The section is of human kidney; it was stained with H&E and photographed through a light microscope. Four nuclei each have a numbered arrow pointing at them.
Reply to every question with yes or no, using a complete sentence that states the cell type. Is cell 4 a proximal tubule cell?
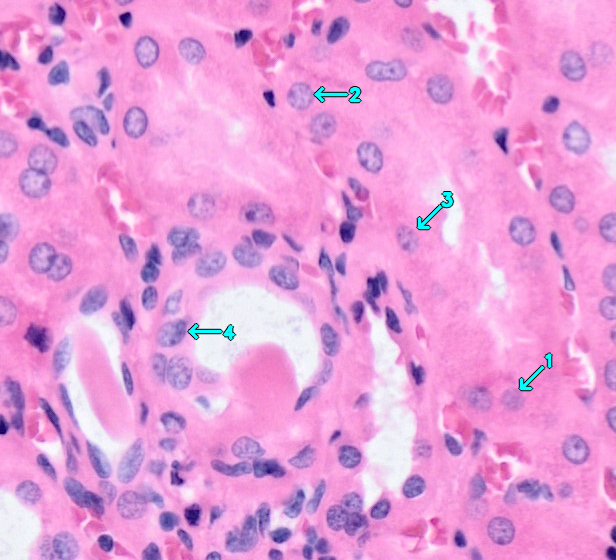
No, the cell at number 4 is a collecting duct cell instead of a proximal tubule cell.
